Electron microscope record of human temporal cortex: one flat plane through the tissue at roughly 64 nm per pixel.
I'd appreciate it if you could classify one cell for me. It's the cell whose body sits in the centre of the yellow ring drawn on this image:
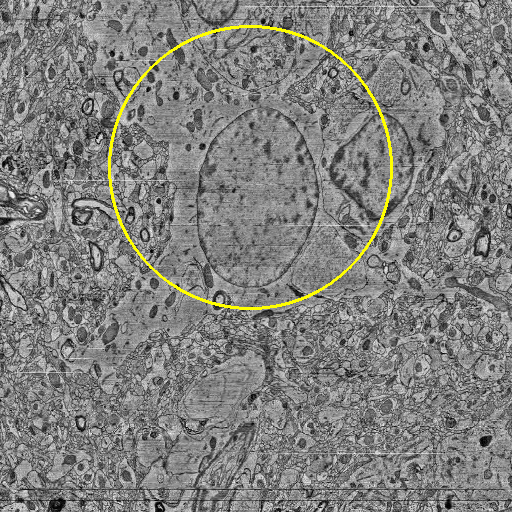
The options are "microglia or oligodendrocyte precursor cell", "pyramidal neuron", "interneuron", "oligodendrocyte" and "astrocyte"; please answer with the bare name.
astrocyte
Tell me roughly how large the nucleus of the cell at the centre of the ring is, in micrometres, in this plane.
The nucleus is about 12 micrometres in length and 8 in width, clearly longer than it is wide in this plane.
